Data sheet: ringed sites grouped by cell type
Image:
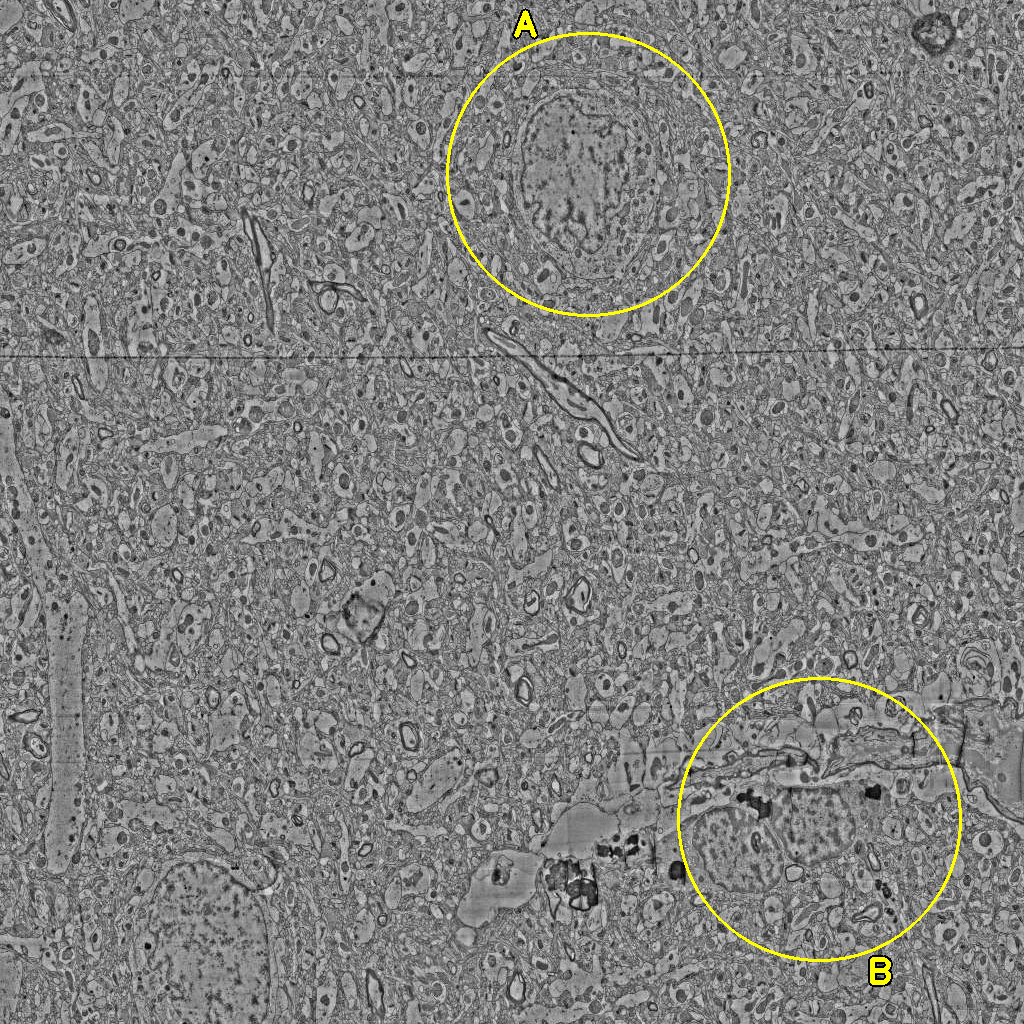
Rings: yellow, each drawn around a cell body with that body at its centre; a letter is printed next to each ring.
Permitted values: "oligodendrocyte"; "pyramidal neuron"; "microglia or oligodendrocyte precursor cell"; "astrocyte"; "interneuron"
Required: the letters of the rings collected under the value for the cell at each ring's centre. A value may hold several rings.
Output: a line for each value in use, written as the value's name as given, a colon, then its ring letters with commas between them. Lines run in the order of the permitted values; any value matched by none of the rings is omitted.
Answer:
oligodendrocyte: B
interneuron: A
